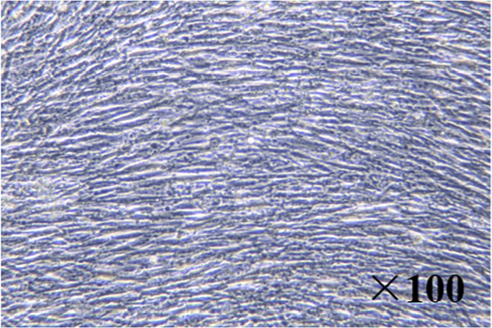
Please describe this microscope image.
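A confluent sheet of cultured spindle-shaped cells seen from above under phase contrast. The cells are long and slender with tapering ends and lie tightly packed side by side, with little space between them. They align in parallel streams that sweep in gently curving, swirling bands across the field, giving a whorled, fibroblast-like pattern. The layer looks continuous over the whole field, with no obvious gaps and no rounded, detached cells.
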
